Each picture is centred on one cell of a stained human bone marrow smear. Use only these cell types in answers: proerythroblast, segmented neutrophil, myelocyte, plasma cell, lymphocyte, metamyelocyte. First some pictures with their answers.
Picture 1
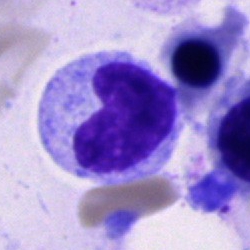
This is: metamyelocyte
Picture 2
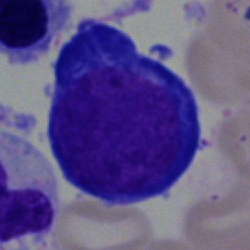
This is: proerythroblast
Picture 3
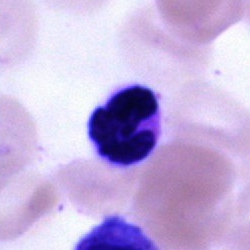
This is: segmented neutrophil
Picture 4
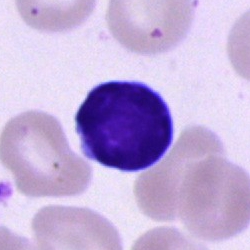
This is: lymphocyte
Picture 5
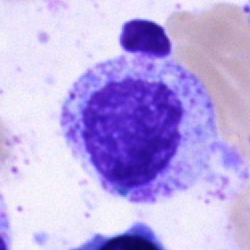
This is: myelocyte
